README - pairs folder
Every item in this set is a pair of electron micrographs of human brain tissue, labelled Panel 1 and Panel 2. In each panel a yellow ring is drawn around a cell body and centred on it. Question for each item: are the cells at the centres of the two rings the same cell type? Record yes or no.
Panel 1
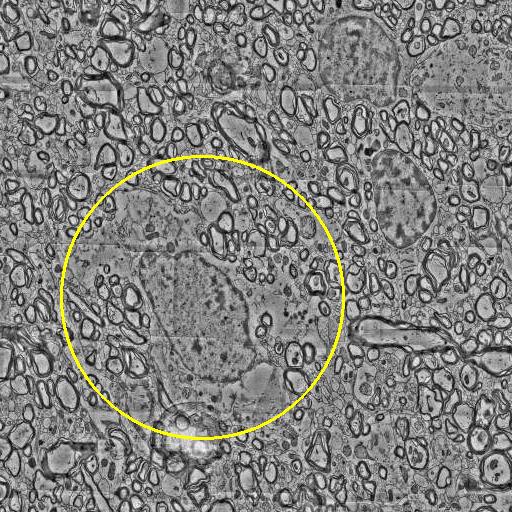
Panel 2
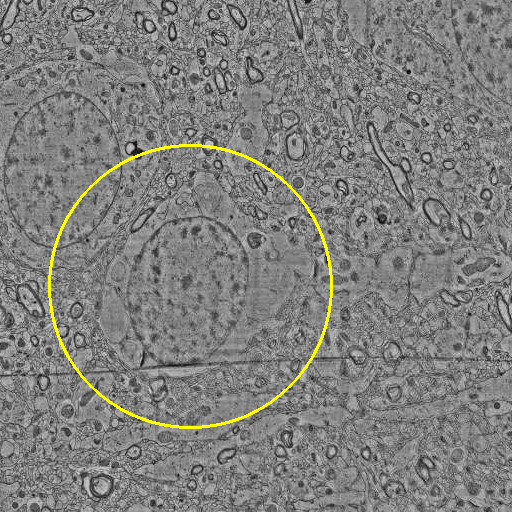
yes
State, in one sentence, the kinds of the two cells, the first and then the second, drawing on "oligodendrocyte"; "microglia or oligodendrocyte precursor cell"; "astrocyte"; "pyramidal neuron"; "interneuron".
Both the first and the second picture show an astrocyte in the ring.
